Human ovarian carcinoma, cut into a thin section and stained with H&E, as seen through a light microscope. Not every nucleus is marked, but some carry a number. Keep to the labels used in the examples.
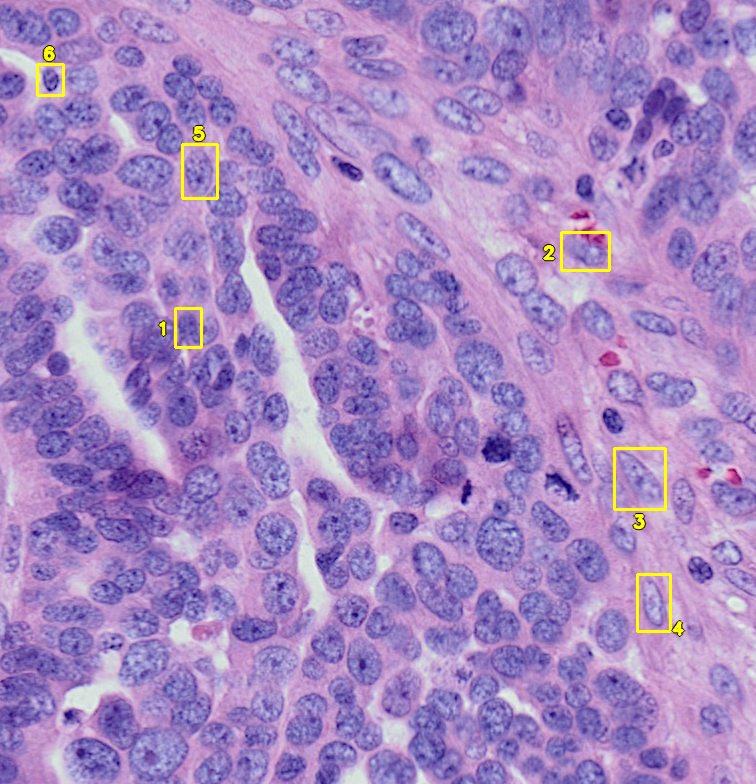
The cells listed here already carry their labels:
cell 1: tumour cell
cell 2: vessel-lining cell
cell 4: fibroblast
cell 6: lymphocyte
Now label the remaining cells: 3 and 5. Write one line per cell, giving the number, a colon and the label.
3: fibroblast
5: tumour cell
